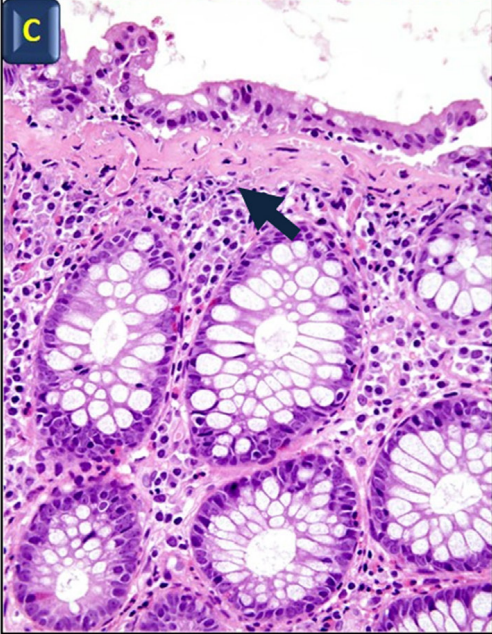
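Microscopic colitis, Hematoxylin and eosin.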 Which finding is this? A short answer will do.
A: Surface epithelial injury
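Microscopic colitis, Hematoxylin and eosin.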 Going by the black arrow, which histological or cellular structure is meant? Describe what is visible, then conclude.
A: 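The band separates the surface epithelium from the cellular lamina propria.
Conclusion: subepithelial collagen band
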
